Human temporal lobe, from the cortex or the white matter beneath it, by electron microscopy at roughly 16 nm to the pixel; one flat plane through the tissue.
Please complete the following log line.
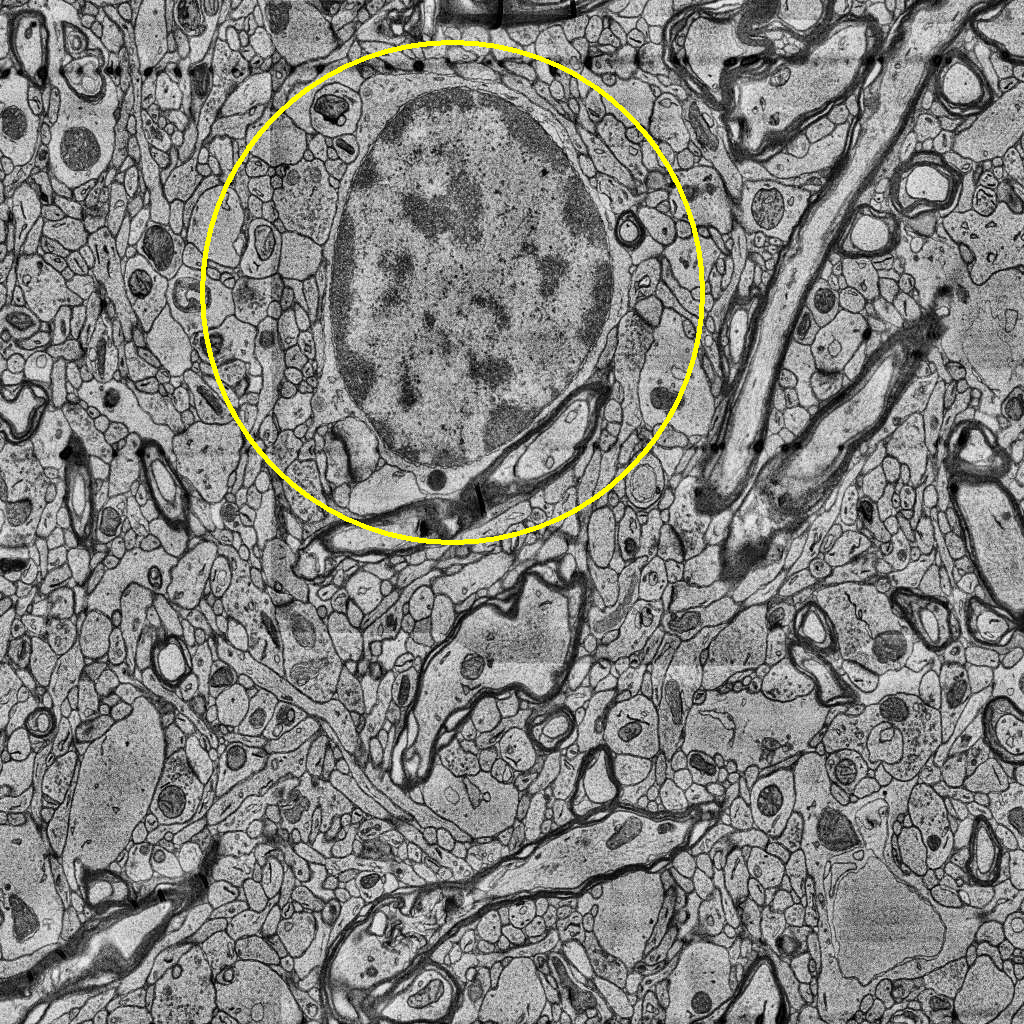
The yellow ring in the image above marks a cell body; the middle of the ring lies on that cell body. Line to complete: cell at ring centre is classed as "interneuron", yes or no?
no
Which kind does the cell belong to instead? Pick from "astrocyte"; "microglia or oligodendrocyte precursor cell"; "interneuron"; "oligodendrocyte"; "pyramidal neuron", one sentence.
The cell at the middle of the ring is a microglial cell or oligodendrocyte precursor cell.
